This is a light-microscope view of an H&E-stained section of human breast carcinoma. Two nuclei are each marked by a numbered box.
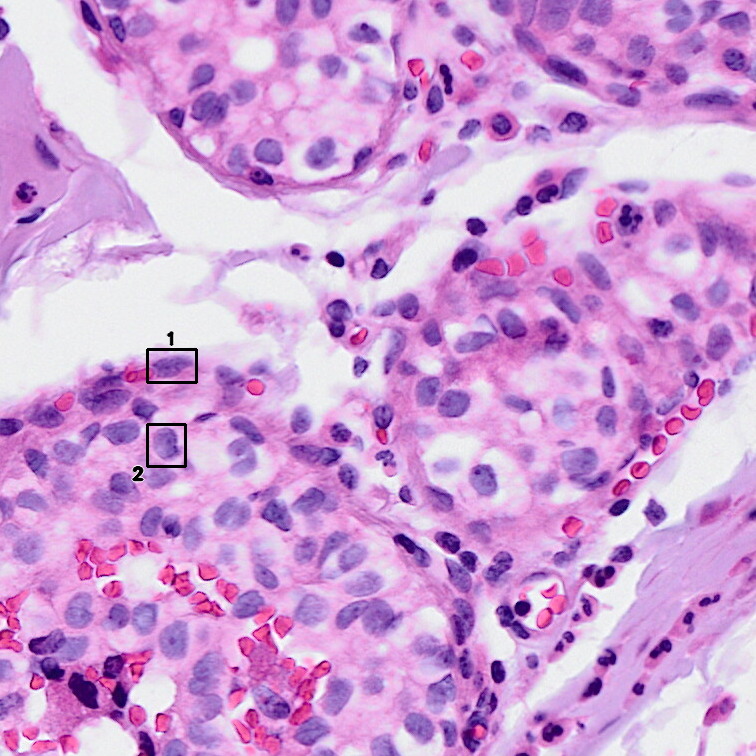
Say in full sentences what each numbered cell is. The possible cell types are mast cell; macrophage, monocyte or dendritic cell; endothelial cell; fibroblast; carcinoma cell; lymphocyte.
Cell 1 is an endothelial cell and cell 2 is a carcinoma cell.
